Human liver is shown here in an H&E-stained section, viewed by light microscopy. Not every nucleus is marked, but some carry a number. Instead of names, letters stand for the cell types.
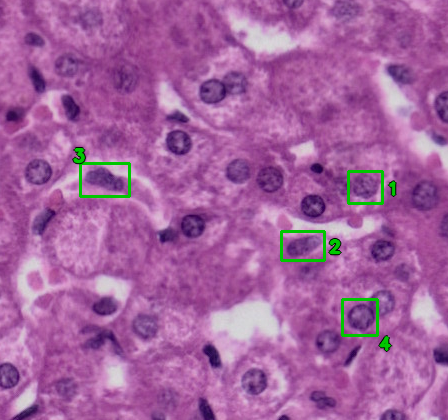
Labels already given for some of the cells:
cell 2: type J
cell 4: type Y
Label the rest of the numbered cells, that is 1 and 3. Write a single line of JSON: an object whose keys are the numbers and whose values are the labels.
{"1": "type Y", "3": "type J"}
